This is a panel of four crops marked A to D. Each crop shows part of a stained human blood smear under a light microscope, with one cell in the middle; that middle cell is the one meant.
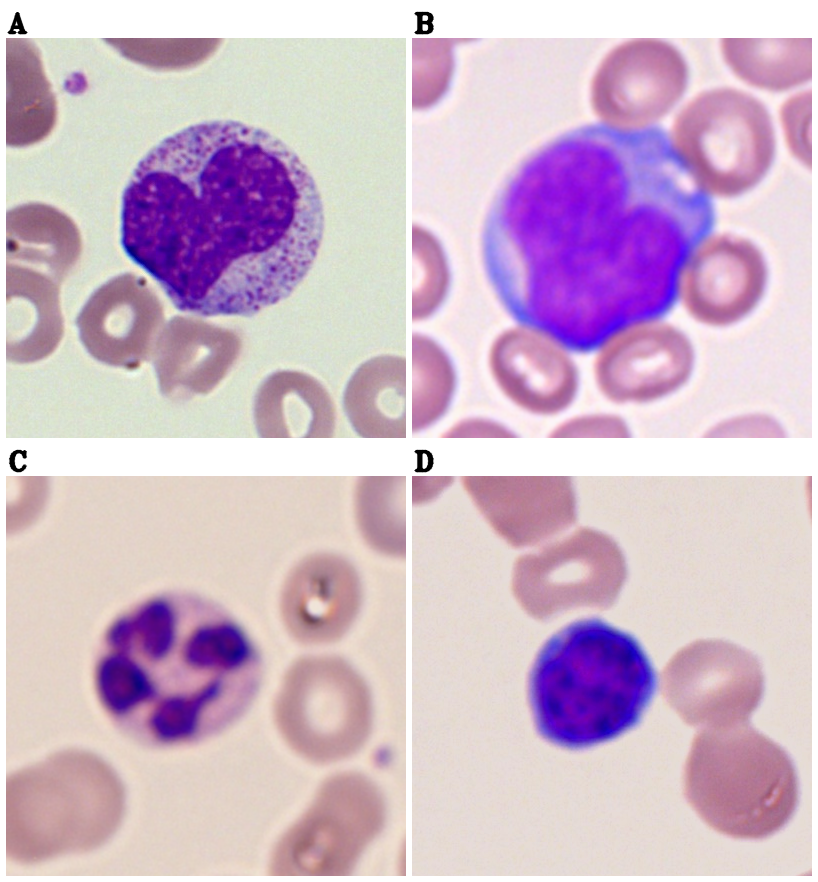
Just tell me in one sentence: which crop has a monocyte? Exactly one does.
When the crops are compared, crop A is the one showing a monocyte.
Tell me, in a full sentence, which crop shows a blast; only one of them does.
It is crop B, not any other, that shows a blast.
